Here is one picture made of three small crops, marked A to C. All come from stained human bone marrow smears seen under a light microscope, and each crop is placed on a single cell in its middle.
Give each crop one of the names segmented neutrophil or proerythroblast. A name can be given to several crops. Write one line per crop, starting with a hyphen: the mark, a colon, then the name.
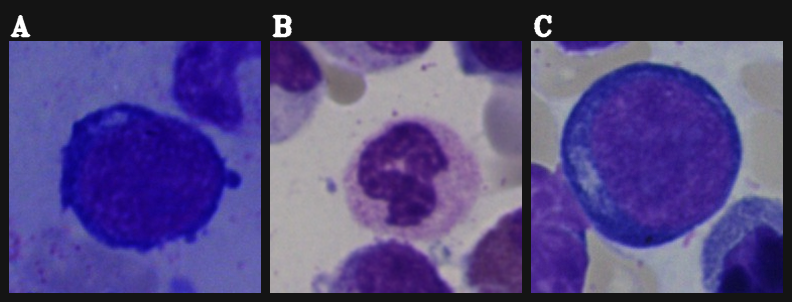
- A: proerythroblast
- B: segmented neutrophil
- C: proerythroblast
